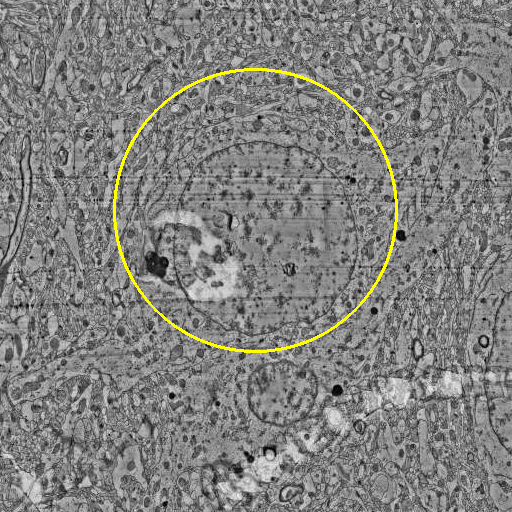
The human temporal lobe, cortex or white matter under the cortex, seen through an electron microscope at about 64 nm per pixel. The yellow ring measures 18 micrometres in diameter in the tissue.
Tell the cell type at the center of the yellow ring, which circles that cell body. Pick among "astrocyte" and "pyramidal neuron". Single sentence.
The ring is centered on the body of a pyramidal neuron.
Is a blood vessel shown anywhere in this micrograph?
No, no blood vessel can be seen.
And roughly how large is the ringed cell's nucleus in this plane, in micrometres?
Approximately 12 micrometres across in this plane.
